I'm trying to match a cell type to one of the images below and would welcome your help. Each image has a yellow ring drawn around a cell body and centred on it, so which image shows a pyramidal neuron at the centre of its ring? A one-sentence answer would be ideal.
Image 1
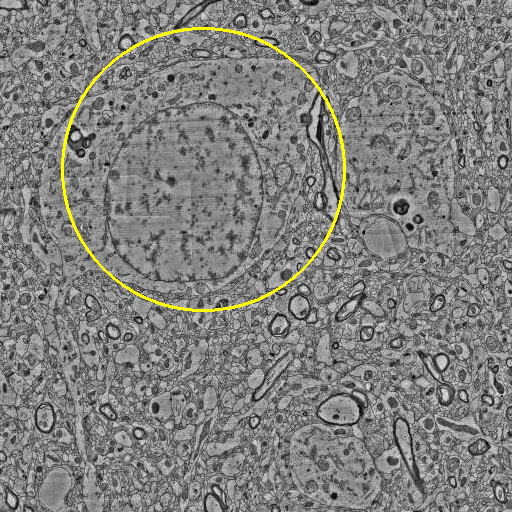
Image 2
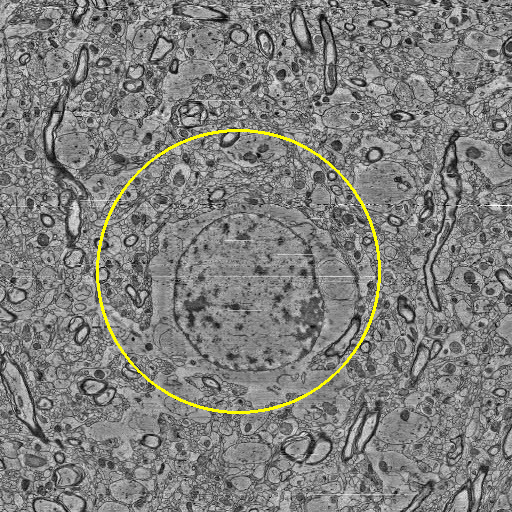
Image 1 shows it at the centre of the ring.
